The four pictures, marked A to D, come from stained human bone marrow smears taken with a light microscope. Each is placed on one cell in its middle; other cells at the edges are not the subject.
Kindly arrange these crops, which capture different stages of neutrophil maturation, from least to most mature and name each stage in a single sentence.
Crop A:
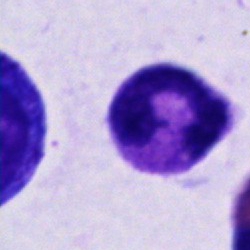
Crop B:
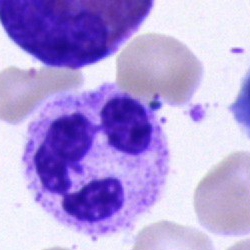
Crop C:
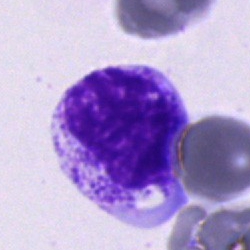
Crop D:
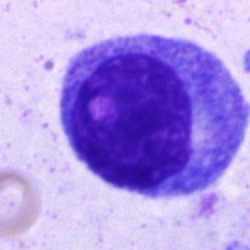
The sequence of maturity, beginning with the least mature, runs crop D (a promyelocyte), crop C (a myelocyte), crop A (a band neutrophil) and crop B (a segmented neutrophil).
